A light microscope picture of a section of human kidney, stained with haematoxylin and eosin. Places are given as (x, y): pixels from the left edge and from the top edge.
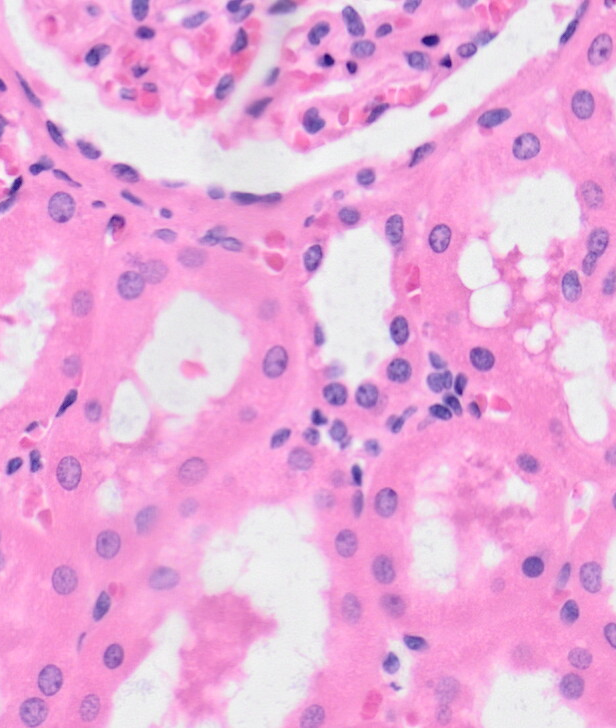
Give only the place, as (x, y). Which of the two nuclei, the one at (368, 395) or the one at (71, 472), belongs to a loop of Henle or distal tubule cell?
(368, 395)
